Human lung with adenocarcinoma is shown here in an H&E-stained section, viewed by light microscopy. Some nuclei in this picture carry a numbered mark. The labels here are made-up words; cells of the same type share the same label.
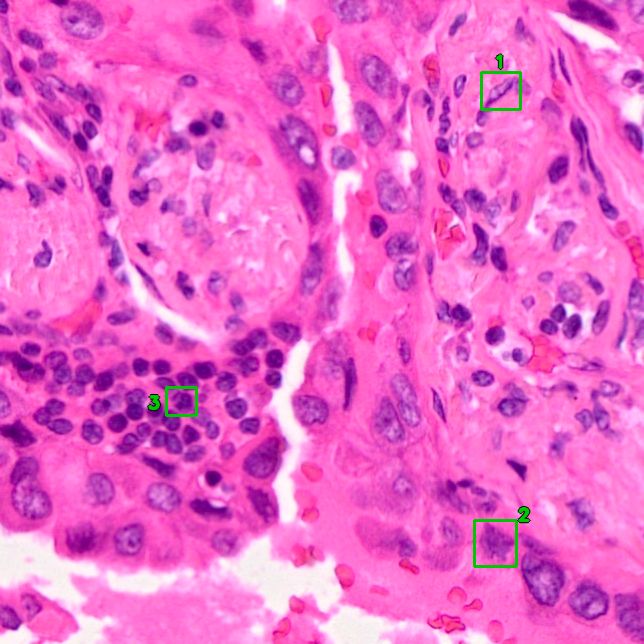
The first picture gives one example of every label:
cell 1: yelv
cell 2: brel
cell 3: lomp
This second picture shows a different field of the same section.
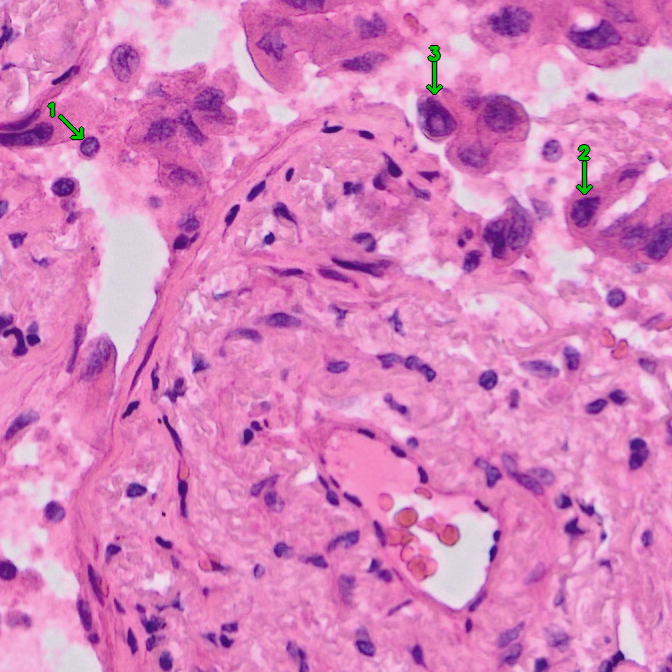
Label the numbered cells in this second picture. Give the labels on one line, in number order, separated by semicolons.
lomp; brel; brel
